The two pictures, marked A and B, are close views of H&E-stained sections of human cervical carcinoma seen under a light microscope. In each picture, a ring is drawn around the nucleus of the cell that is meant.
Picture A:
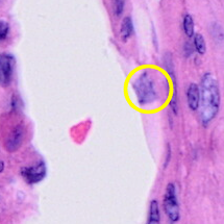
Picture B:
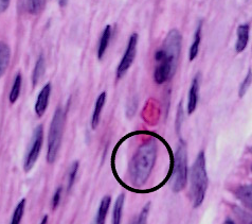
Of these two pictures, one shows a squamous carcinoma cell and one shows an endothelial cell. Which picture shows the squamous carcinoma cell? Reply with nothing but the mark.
A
